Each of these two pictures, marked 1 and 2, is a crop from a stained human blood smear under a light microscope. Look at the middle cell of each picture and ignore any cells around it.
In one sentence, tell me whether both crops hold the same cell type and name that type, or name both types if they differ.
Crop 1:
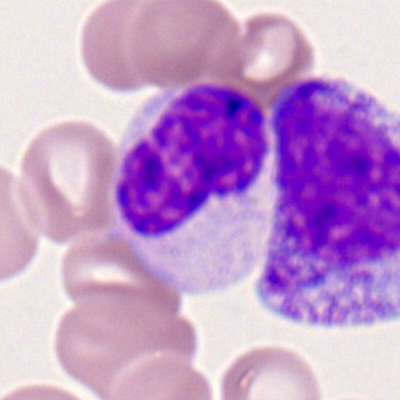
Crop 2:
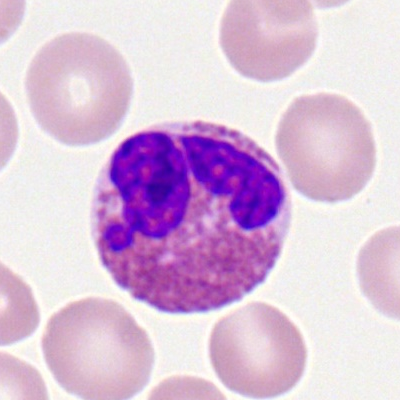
No, crop 1 matches a band neutrophil and crop 2 matches an eosinophil.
